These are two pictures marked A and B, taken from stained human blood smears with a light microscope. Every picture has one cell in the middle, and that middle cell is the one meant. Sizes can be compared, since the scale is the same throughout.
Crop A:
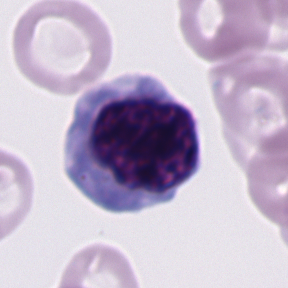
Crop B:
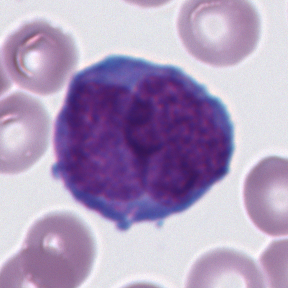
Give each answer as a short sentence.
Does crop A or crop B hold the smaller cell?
The cell in crop A is smaller; the one in crop B has about 1.5 times its area.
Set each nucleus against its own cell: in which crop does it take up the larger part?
The nucleus fills more of the cell in crop B than in crop A.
